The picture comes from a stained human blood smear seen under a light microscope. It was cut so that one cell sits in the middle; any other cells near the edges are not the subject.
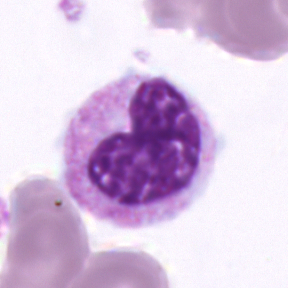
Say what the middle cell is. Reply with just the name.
metamyelocyte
